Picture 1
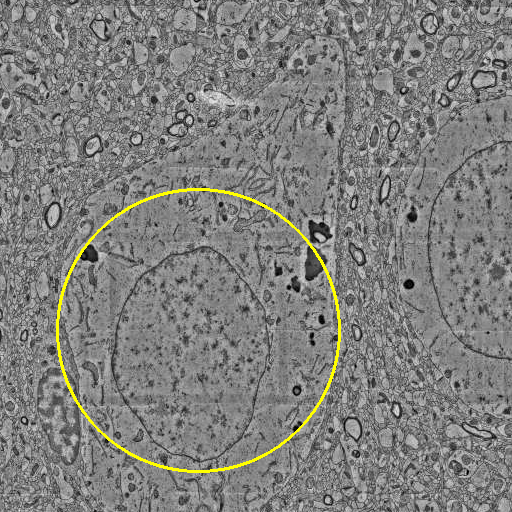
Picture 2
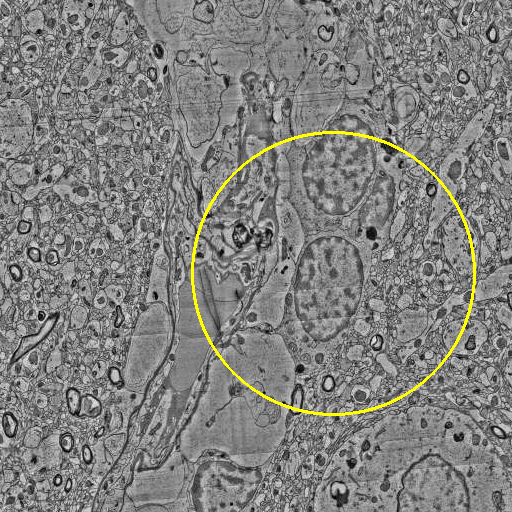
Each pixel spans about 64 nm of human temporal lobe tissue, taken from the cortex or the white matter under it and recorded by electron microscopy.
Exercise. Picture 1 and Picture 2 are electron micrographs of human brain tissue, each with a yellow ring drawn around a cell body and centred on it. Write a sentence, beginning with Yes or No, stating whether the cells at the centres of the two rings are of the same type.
No, the cells at the centres of the rings are of two types.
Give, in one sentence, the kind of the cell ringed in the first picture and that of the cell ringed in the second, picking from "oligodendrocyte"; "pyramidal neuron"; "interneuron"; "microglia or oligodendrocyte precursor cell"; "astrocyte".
For the first picture it is a pyramidal neuron; for the second, an oligodendrocyte.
